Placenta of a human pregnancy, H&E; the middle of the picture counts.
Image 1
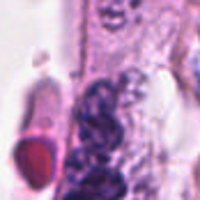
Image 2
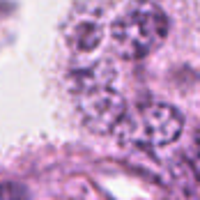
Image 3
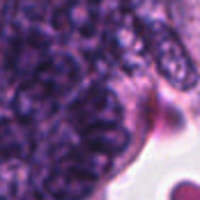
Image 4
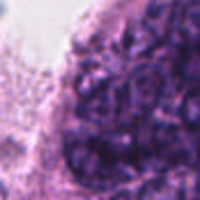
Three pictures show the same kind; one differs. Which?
Picture 2: a cytotrophoblast, while the others are syncytial knots.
